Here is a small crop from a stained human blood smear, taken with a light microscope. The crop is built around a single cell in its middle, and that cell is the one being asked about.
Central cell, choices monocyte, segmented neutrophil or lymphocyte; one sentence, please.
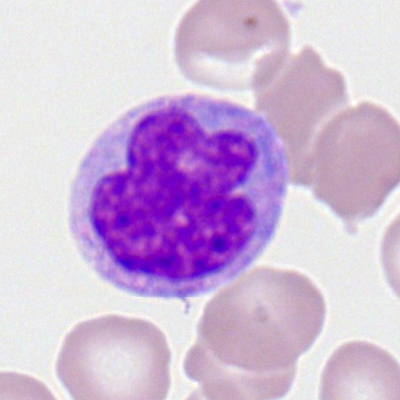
This crop has a monocyte at its centre.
